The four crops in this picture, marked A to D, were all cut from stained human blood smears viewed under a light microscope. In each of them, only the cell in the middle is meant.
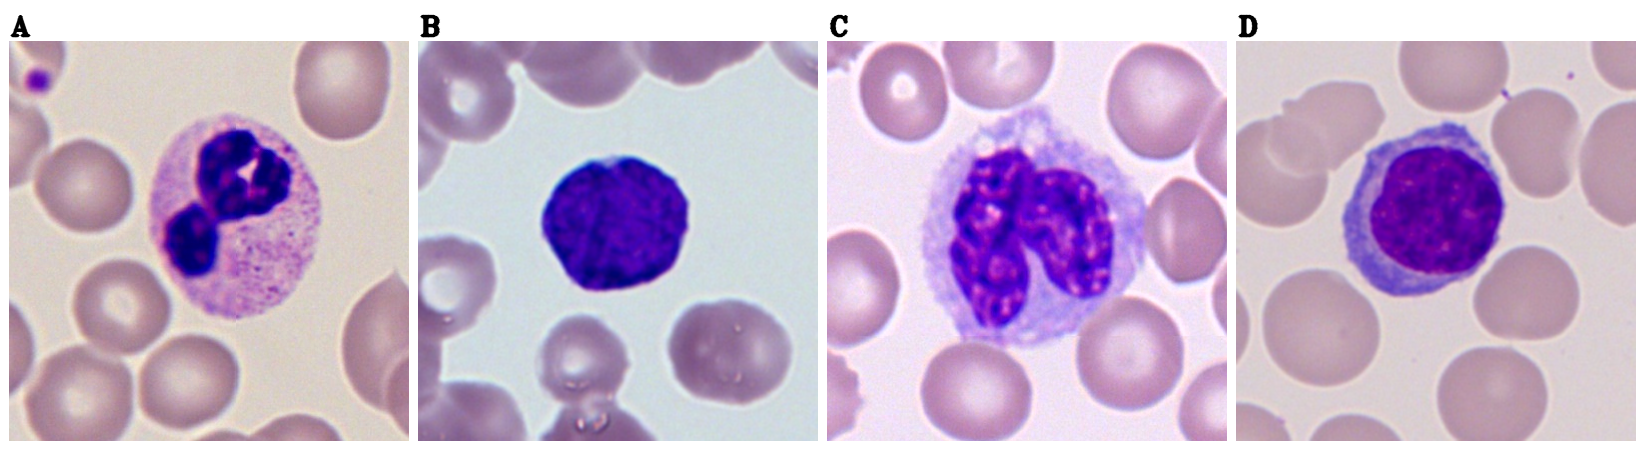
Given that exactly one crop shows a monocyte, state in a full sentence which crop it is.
The crop marked C is the one in which a monocyte is shown.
